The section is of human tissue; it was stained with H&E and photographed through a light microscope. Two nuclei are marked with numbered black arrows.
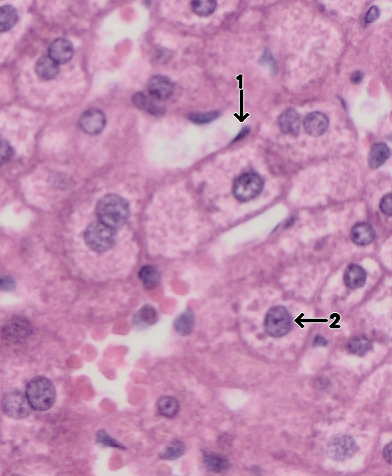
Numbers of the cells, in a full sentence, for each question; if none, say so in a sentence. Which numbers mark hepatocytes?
Within the set of numbered cells, only number 2 is a hepatocyte.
